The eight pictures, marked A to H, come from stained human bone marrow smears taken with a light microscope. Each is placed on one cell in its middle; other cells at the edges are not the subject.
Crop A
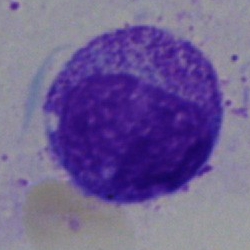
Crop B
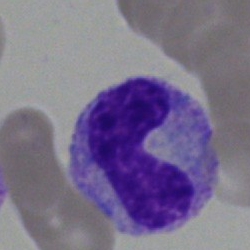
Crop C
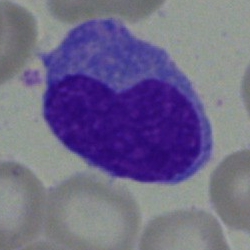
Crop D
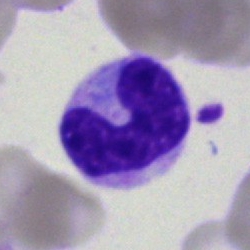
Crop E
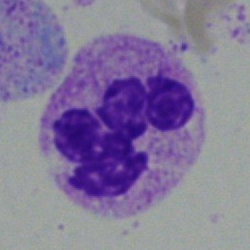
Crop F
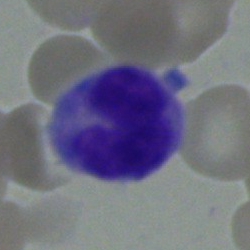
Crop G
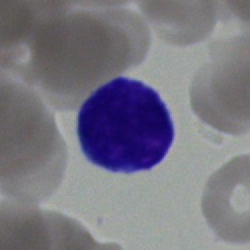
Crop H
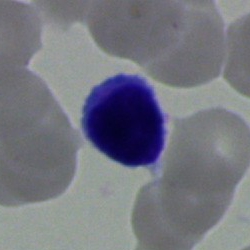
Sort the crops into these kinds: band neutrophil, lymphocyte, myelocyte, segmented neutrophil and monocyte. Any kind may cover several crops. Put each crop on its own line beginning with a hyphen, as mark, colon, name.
- A: myelocyte
- B: band neutrophil
- C: monocyte
- D: band neutrophil
- E: segmented neutrophil
- F: monocyte
- G: lymphocyte
- H: lymphocyte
